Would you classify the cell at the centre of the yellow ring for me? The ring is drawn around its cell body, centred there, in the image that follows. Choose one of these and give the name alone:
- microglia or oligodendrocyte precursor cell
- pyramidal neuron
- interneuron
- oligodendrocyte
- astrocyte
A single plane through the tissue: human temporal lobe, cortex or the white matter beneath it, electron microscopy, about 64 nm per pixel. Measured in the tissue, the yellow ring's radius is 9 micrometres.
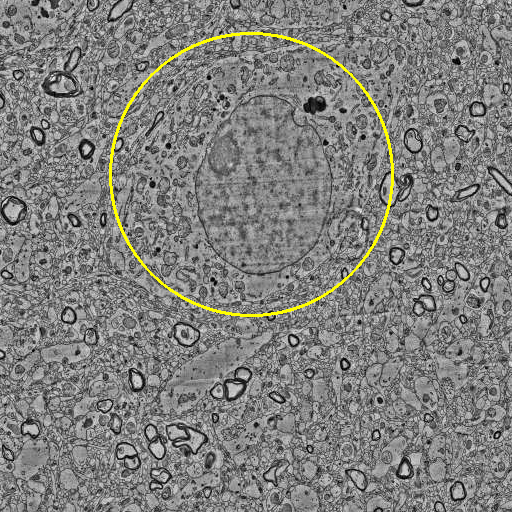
interneuron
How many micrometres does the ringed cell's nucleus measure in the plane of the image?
Roughly 12 micrometres by 9 micrometres, in this plane.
